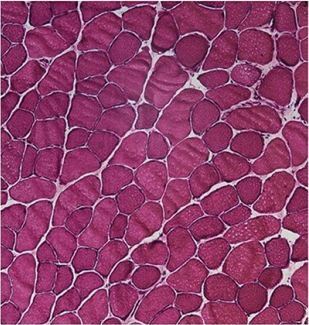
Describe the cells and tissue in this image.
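Cross section of skeletal muscle in which polygonal to rounded muscle fibers with deep pink cytoplasm lie packed side by side. Thin pale spaces outline each fiber, small dark nuclei lie at the fiber borders, and several fibers show wavy banding across their cut surface.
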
